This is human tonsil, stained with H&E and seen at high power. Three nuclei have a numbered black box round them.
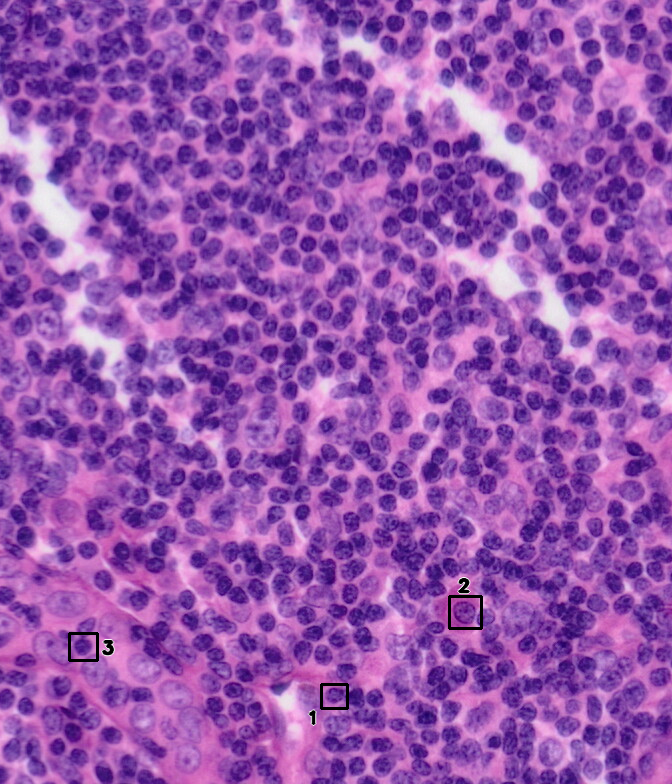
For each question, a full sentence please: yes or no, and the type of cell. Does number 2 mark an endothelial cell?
No, cell 2 is a plasma cell; it is not an endothelial cell.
